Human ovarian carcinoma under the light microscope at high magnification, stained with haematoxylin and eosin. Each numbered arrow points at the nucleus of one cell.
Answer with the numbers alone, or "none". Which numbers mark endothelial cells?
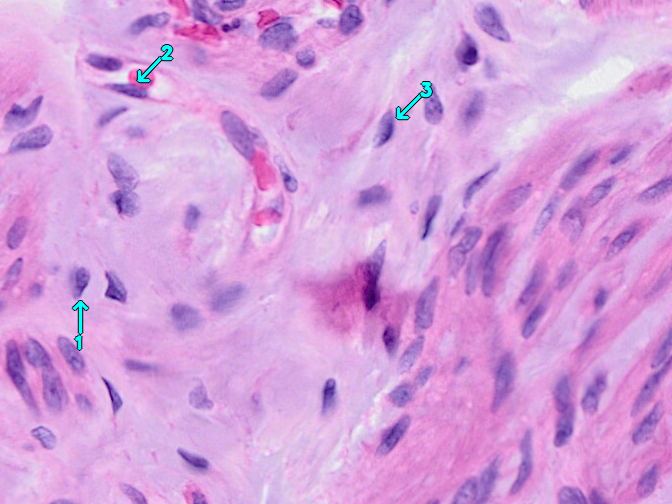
2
